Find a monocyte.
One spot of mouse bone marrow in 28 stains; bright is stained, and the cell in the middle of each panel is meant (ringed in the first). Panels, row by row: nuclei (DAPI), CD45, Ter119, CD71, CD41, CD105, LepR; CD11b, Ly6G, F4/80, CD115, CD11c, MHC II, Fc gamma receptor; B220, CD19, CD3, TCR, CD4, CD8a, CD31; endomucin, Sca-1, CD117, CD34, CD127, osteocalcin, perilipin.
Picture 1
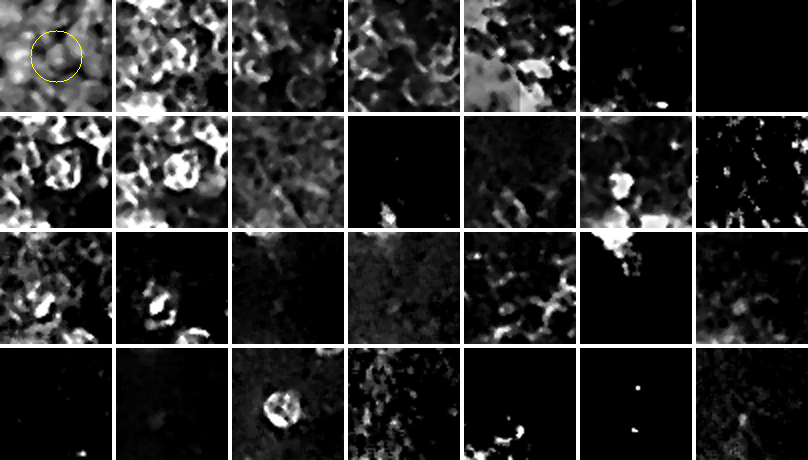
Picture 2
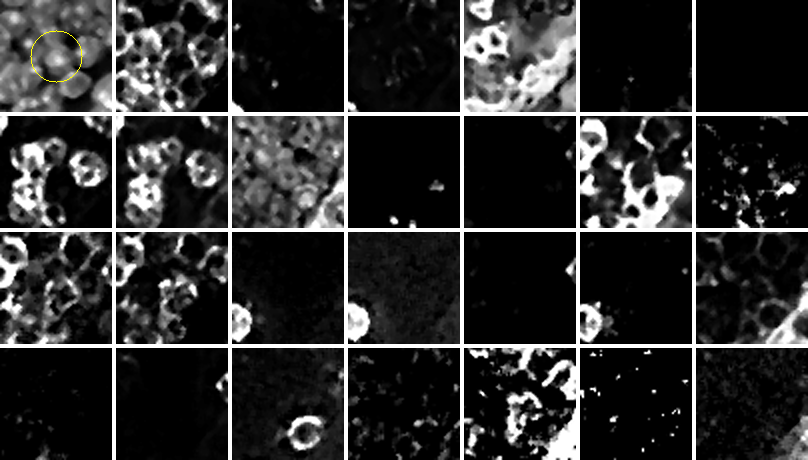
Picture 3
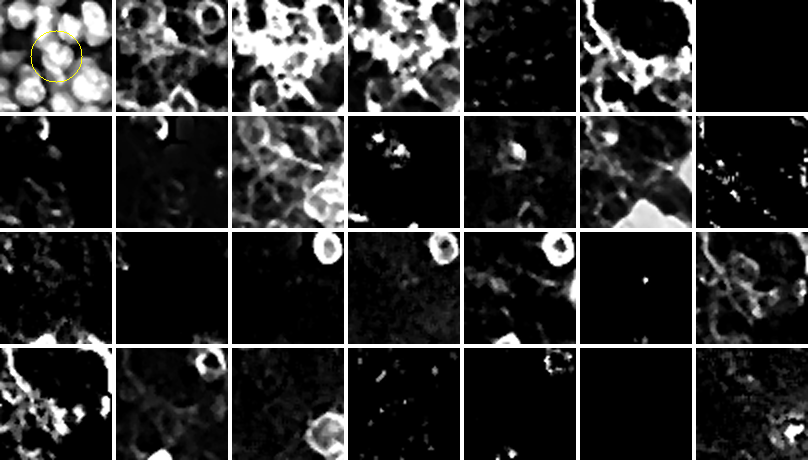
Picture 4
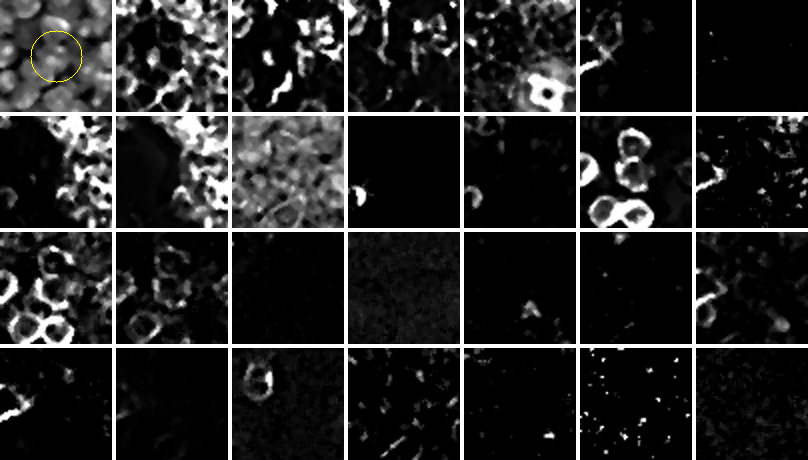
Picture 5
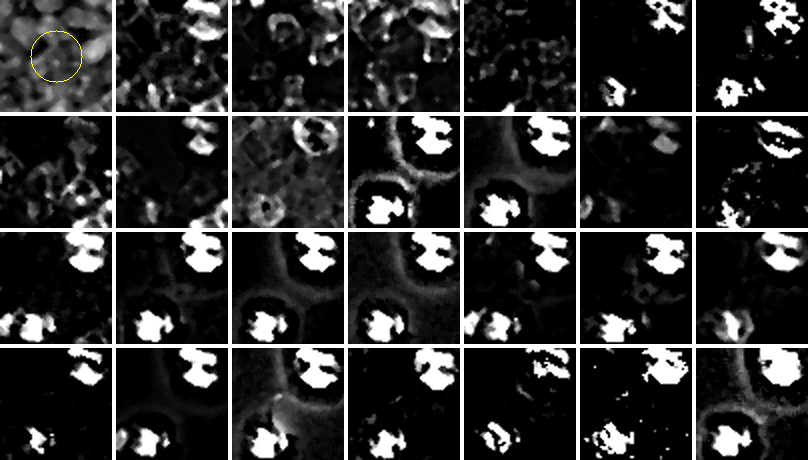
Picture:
5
